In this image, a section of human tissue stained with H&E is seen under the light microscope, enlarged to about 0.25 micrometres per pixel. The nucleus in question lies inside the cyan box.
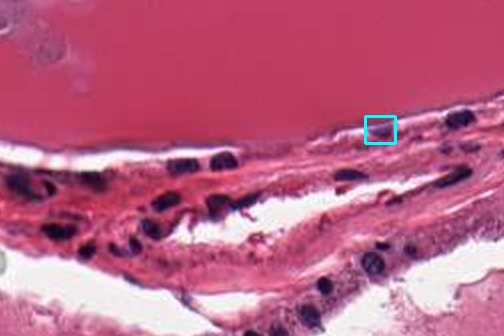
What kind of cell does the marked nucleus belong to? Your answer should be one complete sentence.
Here the marked nucleus is part of a thyroid follicular cell.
